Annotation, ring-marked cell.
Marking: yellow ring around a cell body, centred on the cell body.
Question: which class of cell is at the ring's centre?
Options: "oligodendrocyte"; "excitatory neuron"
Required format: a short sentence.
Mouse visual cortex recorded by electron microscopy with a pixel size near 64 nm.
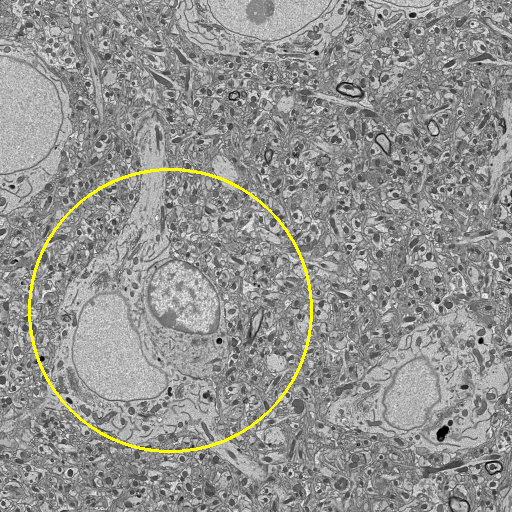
At the ring's centre is an oligodendrocyte.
